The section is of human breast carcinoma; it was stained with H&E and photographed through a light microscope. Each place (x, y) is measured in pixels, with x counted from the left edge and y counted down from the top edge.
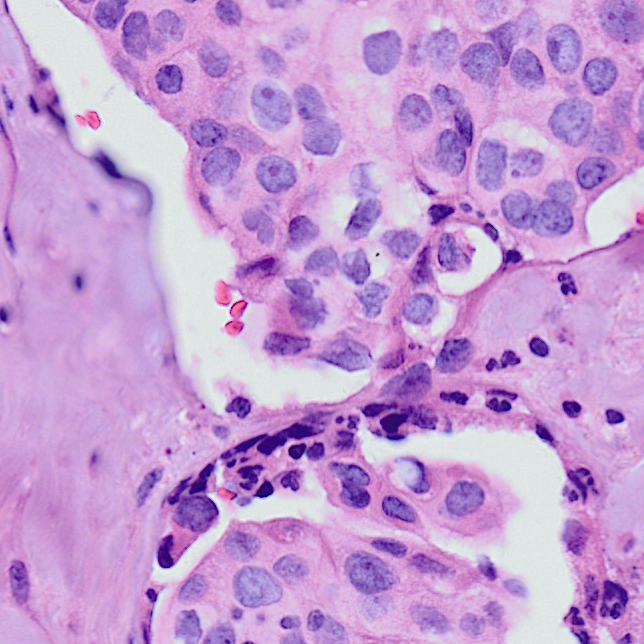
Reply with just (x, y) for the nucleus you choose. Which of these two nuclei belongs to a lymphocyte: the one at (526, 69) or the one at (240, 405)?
(240, 405)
